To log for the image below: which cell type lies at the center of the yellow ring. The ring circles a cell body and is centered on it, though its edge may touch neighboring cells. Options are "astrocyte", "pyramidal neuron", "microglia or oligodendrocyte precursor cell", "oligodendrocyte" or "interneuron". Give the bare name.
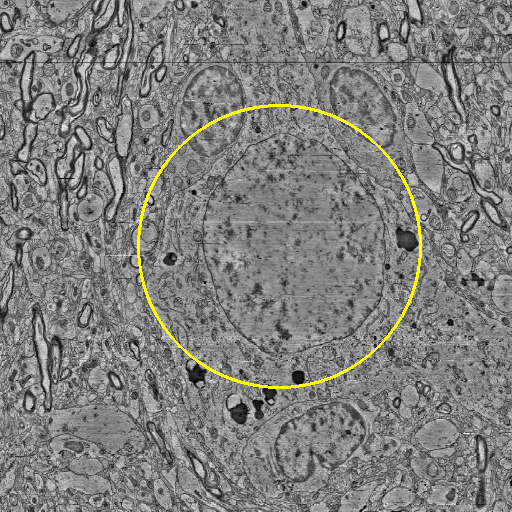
pyramidal neuron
